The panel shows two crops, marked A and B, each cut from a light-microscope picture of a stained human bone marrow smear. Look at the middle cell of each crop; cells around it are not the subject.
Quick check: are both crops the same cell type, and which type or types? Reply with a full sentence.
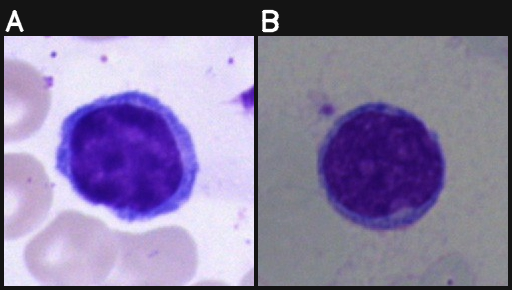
Yes, it is lymphocytes that sit at the centre of both crops.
